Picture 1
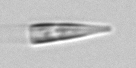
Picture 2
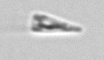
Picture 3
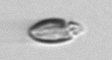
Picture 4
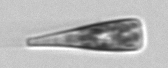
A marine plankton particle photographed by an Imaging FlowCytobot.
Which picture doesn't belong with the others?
Picture 3.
